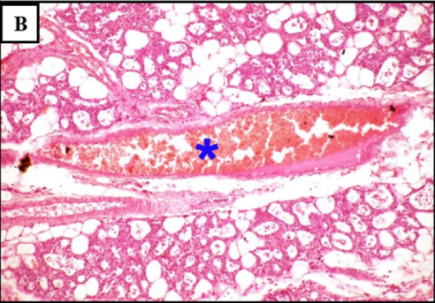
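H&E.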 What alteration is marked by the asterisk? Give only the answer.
Blood vessel congestion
